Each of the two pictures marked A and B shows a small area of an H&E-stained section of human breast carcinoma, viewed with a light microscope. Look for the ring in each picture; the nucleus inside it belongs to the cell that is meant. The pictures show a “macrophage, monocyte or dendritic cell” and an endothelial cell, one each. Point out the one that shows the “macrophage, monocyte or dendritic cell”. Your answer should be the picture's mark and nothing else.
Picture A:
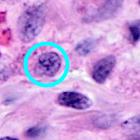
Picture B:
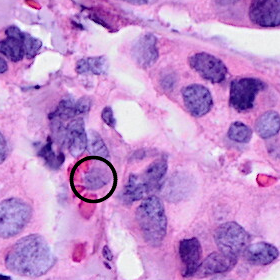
A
